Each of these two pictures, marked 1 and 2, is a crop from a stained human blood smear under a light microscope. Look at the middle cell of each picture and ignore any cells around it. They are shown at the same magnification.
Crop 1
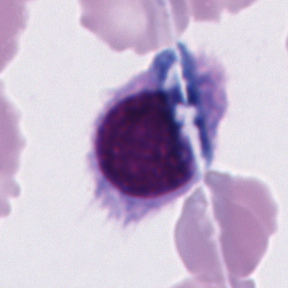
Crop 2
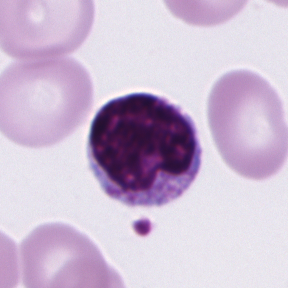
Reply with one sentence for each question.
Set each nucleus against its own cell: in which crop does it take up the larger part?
The nucleus fills more of the cell in crop 2 than in crop 1.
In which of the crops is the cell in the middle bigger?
Crop 1 holds the larger cell; it covers about 1.5 times the area of the cell in crop 2.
